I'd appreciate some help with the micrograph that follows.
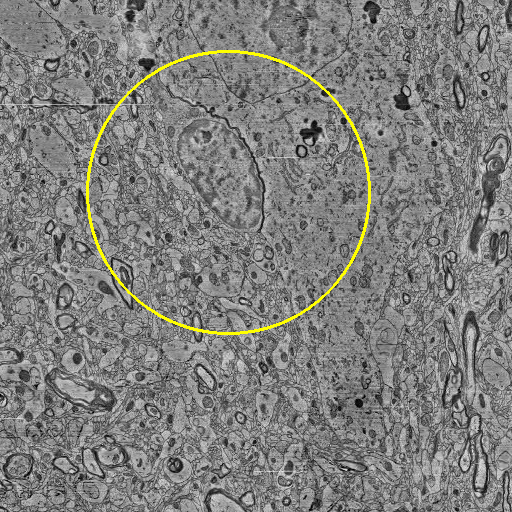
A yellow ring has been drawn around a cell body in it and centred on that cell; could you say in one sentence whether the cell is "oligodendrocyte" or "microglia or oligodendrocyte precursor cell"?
It is an oligodendrocyte at the centre of the ring.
